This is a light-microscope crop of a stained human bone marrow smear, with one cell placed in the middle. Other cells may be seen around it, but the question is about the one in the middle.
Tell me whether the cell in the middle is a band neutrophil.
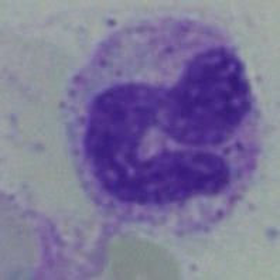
yes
